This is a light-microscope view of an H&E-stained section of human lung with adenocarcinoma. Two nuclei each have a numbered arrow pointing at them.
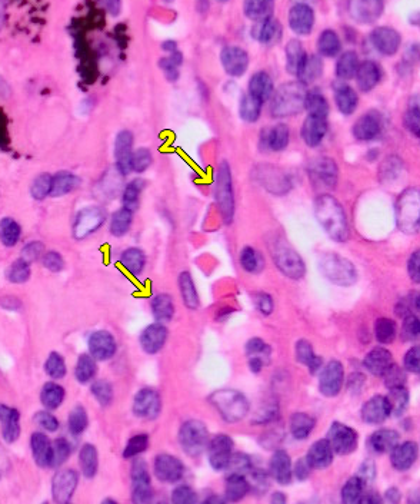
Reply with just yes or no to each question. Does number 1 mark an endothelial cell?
no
